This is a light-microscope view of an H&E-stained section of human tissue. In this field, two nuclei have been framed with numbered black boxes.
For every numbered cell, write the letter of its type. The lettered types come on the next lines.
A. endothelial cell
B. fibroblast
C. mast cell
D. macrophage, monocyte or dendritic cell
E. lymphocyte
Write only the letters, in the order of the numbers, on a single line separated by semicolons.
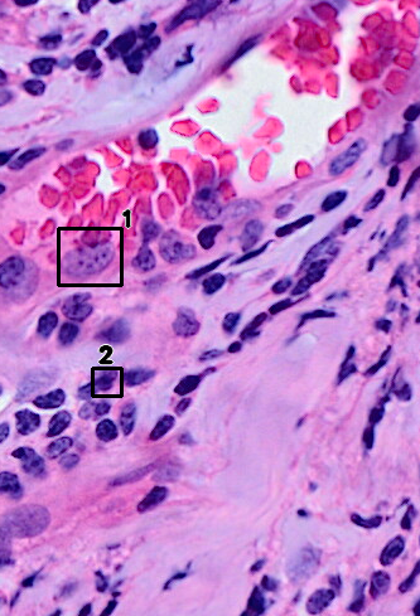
A; E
